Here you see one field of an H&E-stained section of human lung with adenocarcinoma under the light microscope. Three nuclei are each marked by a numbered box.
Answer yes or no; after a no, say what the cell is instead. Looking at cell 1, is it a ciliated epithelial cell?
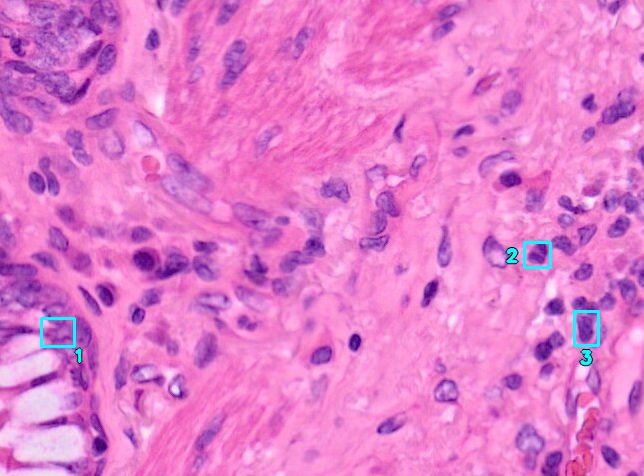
Yes.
